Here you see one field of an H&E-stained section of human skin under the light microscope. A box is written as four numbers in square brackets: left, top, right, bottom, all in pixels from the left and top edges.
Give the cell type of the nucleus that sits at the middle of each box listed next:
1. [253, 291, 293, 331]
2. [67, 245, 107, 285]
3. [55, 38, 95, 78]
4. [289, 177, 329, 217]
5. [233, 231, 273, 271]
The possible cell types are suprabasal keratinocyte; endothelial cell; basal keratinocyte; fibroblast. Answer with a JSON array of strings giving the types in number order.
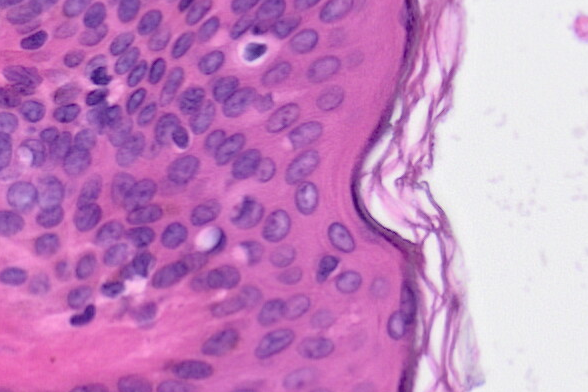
["suprabasal keratinocyte", "basal keratinocyte", "basal keratinocyte", "suprabasal keratinocyte", "suprabasal keratinocyte"]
